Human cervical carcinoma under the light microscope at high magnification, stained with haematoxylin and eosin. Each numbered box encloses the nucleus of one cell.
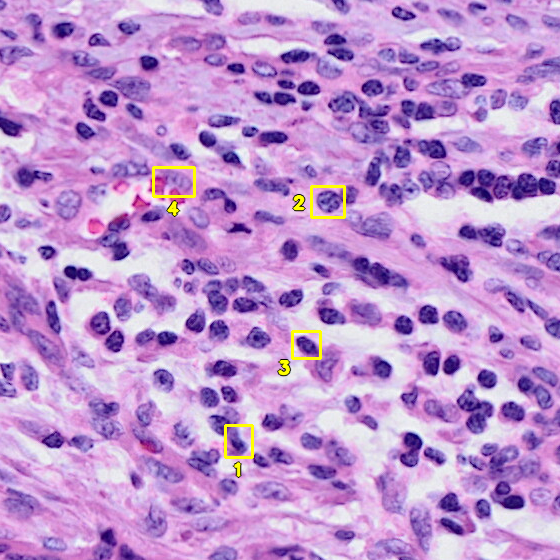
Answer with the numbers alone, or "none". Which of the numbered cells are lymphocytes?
1, 2, 3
